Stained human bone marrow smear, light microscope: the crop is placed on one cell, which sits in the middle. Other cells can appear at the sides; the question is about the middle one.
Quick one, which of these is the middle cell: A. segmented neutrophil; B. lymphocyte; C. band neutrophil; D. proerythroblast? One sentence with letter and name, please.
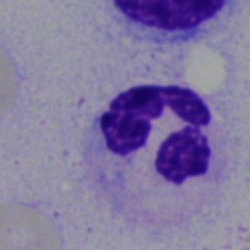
Option A is correct in that the central cell is a segmented neutrophil.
